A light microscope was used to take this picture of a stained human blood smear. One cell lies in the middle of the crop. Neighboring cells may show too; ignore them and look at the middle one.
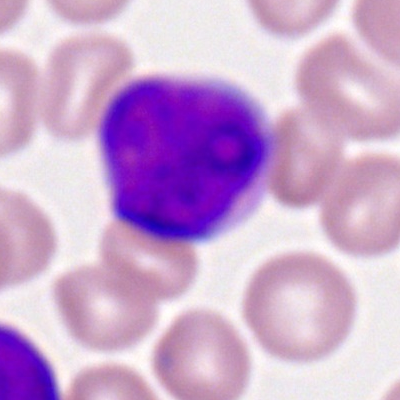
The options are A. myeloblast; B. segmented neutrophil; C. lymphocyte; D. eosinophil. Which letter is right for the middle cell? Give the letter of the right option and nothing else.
A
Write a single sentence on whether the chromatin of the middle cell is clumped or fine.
The chromatin here is fine and lacks any coarse clumps.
